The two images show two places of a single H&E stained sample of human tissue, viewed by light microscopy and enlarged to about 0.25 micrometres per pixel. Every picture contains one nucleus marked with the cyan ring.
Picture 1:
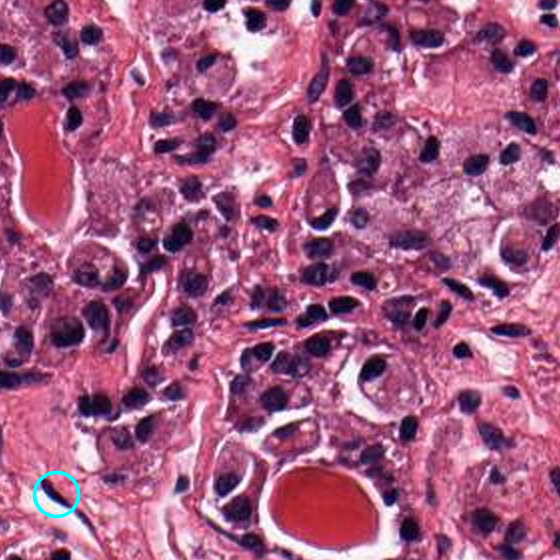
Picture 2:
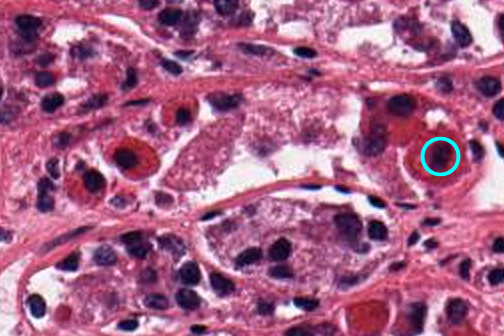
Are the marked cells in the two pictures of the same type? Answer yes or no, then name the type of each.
No, the first is an endothelial cell and the second an anterior pituitary cell.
